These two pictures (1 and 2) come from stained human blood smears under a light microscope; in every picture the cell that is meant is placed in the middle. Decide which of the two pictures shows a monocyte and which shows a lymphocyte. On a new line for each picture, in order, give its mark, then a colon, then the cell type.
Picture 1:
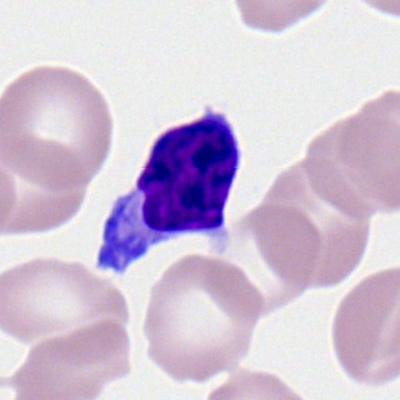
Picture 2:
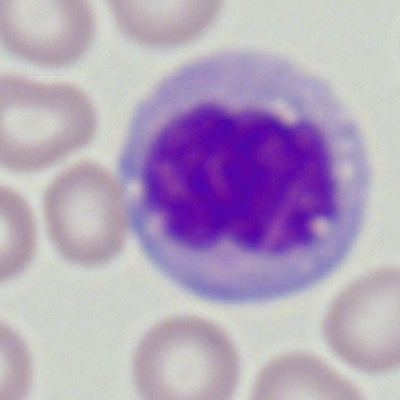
1: lymphocyte
2: monocyte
